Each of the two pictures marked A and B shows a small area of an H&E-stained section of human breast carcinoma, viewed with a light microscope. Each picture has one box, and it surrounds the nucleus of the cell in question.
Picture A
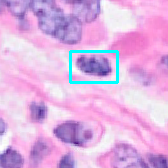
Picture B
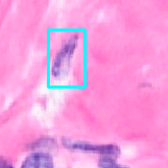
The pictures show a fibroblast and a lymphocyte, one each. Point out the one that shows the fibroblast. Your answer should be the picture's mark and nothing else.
B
